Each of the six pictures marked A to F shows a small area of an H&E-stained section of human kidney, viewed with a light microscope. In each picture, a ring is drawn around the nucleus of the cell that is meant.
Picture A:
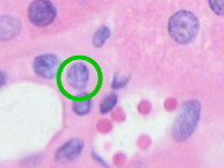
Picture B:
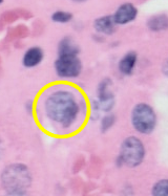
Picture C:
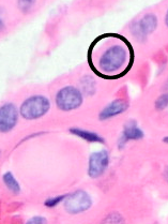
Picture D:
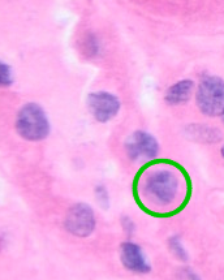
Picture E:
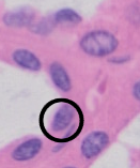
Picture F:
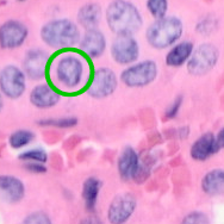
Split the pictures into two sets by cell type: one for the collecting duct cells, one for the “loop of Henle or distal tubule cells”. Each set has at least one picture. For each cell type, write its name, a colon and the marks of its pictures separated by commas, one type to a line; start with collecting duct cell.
collecting duct cell: A, C, F
loop of Henle or distal tubule cell: B, D, E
